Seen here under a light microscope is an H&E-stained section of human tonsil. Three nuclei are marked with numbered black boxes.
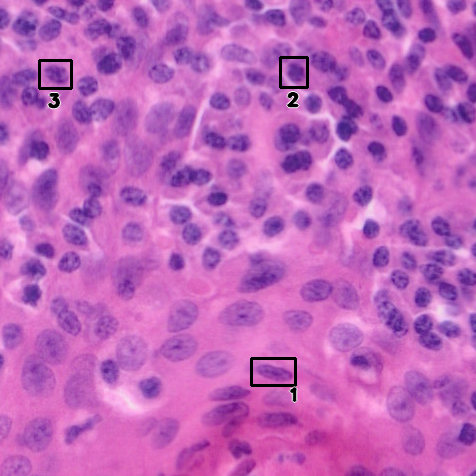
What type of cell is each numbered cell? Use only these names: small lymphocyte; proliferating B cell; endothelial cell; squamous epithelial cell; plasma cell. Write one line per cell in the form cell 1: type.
cell 1: squamous epithelial cell
cell 2: plasma cell
cell 3: plasma cell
